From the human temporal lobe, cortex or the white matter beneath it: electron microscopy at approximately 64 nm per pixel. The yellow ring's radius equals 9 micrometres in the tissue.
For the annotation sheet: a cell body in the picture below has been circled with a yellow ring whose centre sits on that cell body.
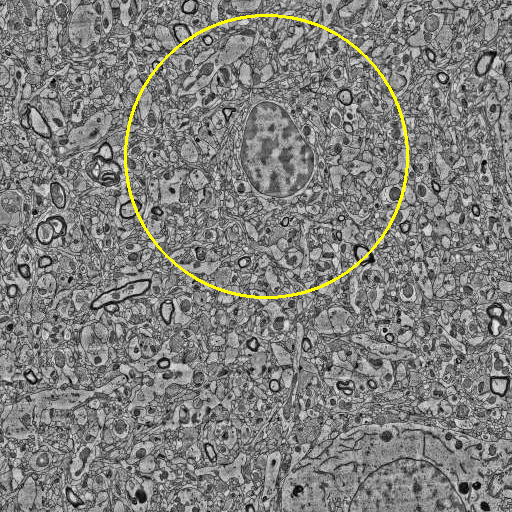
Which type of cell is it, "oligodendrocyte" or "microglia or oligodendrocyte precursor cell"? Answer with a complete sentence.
The circled cell is a microglial cell or oligodendrocyte precursor cell.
